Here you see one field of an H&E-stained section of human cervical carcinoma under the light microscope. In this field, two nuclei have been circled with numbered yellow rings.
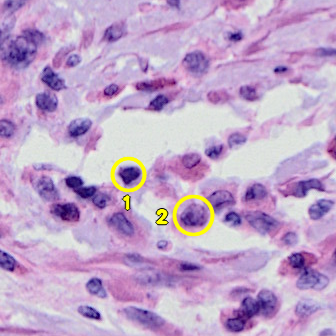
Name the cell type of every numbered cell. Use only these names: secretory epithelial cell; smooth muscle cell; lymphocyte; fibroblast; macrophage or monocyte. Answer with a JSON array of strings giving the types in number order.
["lymphocyte", "macrophage or monocyte"]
